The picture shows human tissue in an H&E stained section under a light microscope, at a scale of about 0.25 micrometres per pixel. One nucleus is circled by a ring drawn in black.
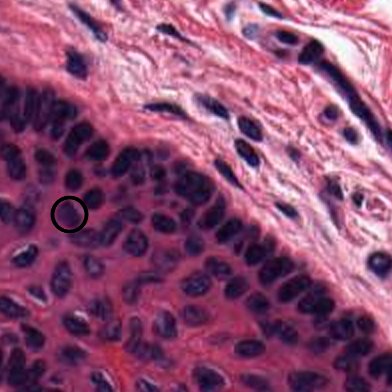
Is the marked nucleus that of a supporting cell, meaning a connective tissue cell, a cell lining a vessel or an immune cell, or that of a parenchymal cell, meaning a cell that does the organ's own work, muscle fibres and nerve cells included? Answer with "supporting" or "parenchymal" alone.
parenchymal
